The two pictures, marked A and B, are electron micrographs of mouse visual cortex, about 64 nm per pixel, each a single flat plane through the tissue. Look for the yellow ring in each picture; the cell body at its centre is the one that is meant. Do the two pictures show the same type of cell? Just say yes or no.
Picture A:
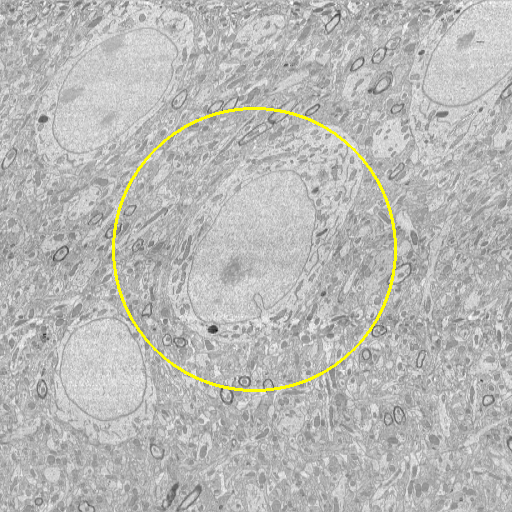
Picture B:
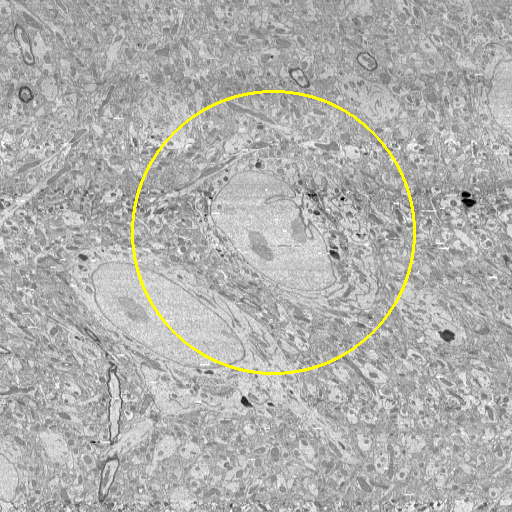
yes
